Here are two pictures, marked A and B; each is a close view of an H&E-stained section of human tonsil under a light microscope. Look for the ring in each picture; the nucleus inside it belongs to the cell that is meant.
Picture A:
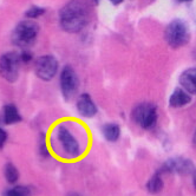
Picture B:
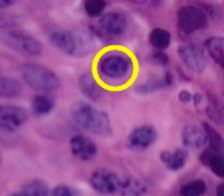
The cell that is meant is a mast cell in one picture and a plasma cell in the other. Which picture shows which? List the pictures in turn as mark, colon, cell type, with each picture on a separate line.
A: mast cell
B: plasma cell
